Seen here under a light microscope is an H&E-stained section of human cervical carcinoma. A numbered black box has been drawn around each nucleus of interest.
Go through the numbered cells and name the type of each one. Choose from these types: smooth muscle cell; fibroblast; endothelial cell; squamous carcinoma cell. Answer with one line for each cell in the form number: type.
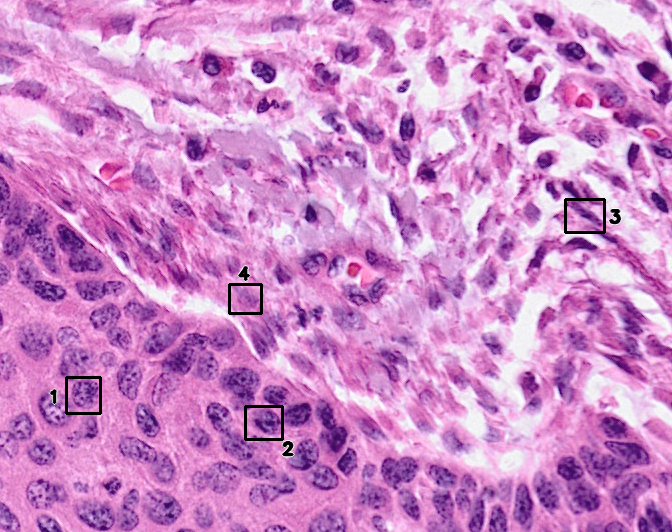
1: squamous carcinoma cell
2: squamous carcinoma cell
3: fibroblast
4: fibroblast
